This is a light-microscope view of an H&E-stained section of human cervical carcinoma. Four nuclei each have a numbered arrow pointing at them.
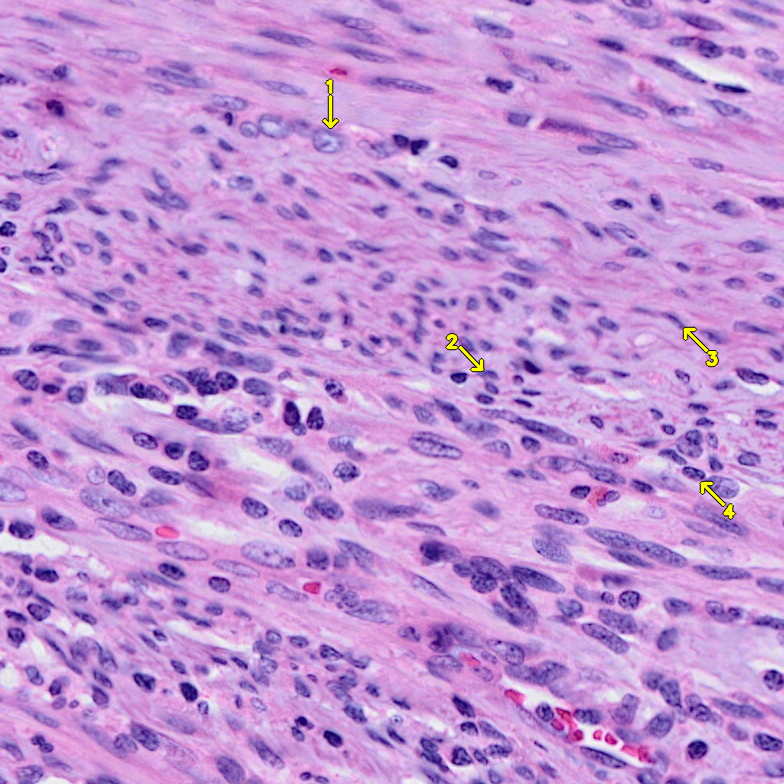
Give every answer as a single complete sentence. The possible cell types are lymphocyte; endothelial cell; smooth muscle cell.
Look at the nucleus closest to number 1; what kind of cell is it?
Number 1 lies closest to the nucleus of an endothelial cell.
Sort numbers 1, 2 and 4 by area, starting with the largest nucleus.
By area, largest first, they run 1, 4, 2.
